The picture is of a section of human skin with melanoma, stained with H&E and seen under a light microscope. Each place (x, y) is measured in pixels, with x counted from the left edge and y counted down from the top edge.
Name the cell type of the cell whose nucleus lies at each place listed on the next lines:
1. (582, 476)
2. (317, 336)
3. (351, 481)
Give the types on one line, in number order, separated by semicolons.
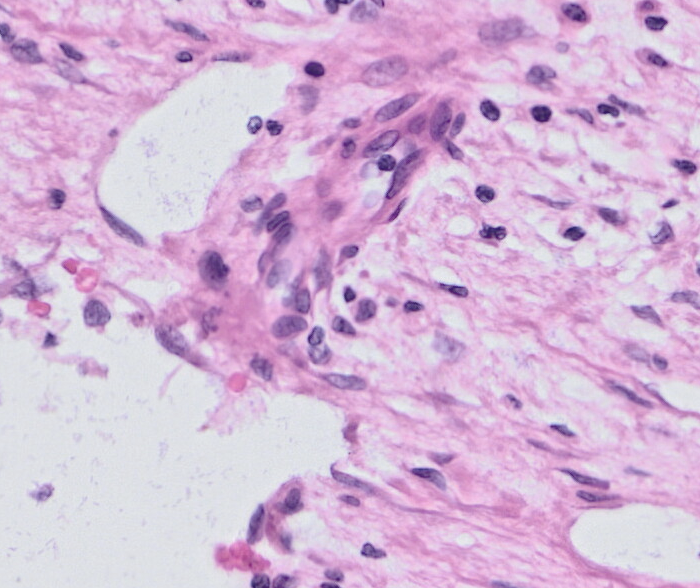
fibroblast or myofibroblast; lymphocyte; fibroblast or myofibroblast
